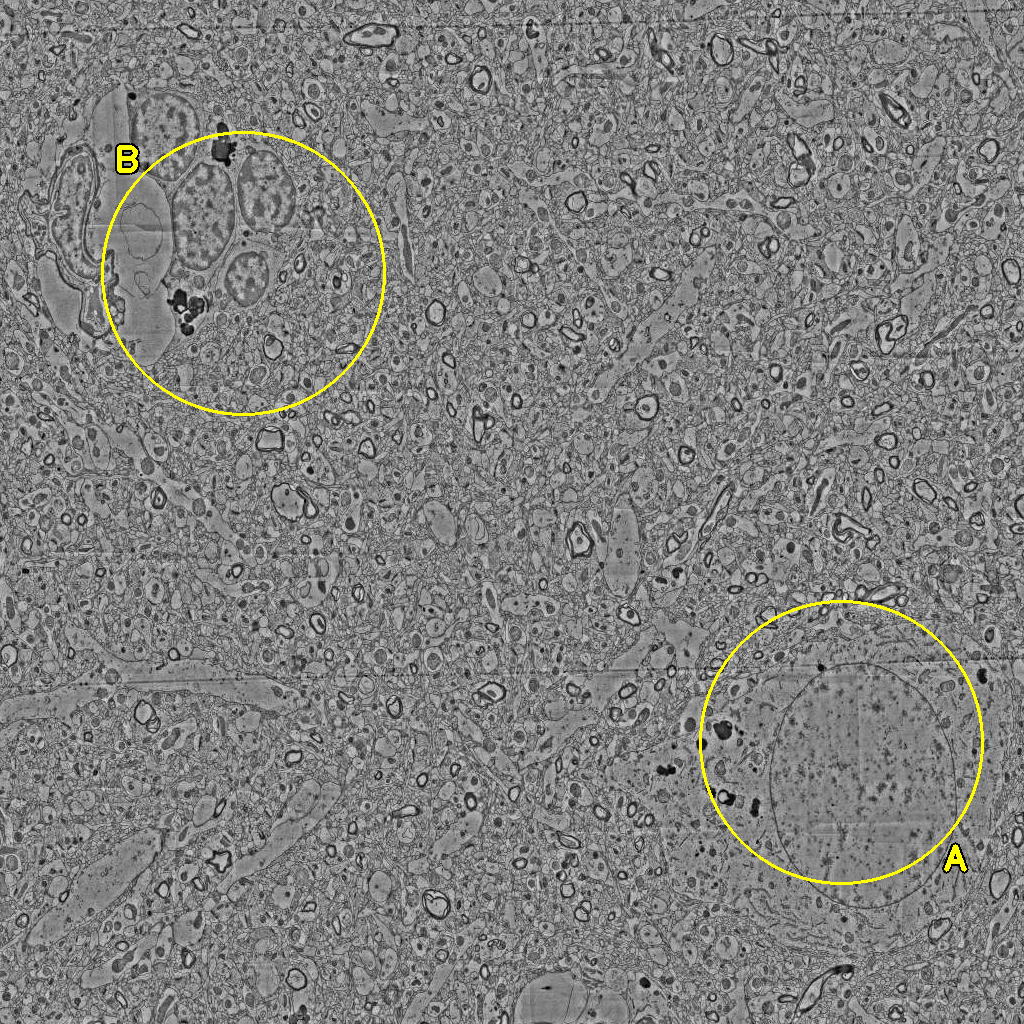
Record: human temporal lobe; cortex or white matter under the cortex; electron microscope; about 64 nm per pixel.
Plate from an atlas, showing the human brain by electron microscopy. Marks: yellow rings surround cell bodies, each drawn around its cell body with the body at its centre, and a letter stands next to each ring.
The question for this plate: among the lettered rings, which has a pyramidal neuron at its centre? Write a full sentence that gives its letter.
Ring A holds at its centre the cell that the question asks about in the picture.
